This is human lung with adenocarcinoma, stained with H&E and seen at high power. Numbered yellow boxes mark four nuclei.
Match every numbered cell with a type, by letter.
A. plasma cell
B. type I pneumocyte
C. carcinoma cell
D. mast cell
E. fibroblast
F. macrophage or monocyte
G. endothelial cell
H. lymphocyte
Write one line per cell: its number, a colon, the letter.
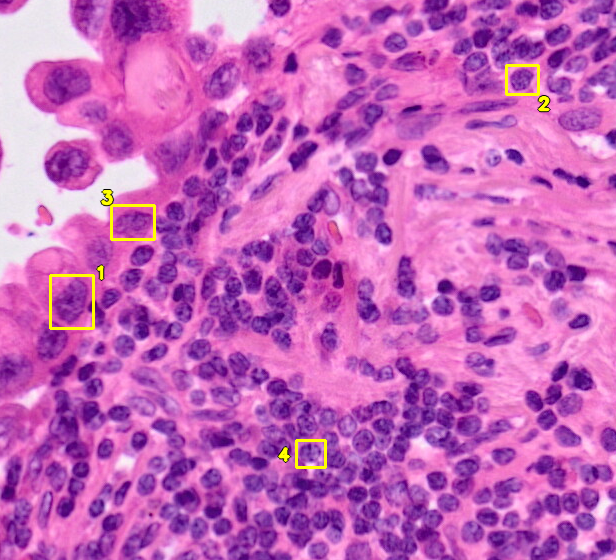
1: C
2: H
3: C
4: H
